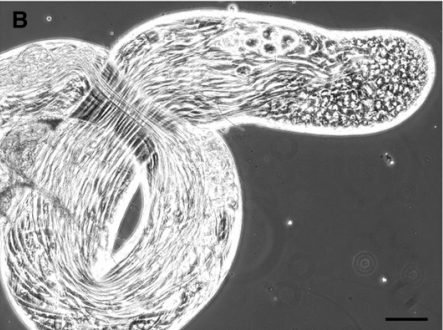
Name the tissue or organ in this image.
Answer: testes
